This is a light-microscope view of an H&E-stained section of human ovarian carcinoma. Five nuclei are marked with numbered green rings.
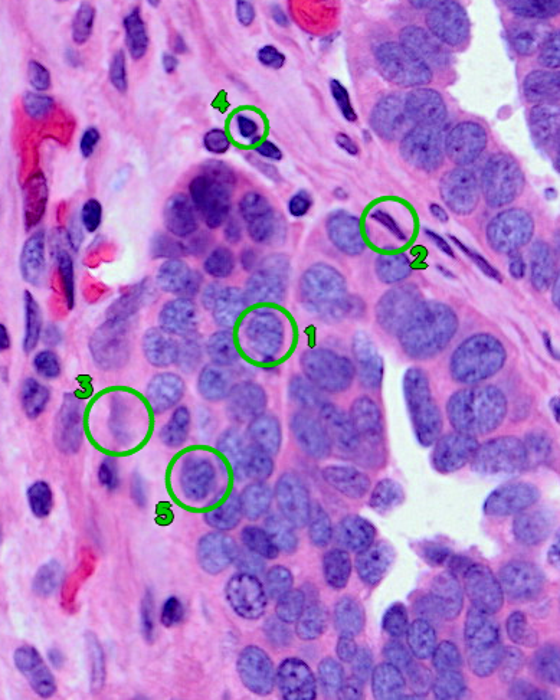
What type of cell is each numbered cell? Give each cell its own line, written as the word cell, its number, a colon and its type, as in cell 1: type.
cell 1: carcinoma cell
cell 2: fibroblast
cell 3: fibroblast
cell 4: lymphocyte
cell 5: carcinoma cell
